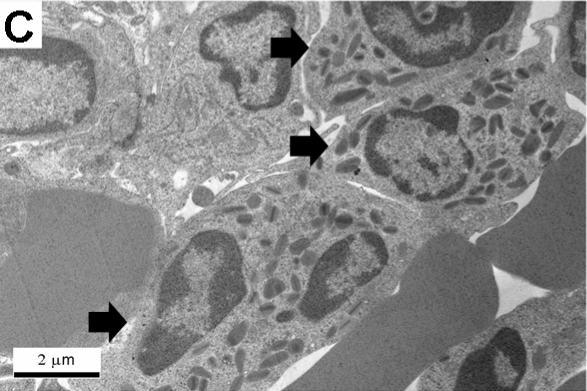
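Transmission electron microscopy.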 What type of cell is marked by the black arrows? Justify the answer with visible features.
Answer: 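The marked cells have lobed, indented nuclei. Their cytoplasm is packed with many dense, elongated to oval granules.
Answer: Eosinophils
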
